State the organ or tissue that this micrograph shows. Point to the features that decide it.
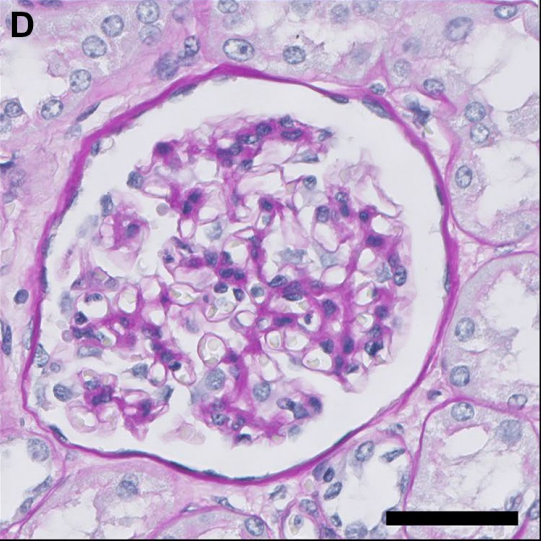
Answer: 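A round tuft of open capillary loops with magenta walls. A thick magenta capsule surrounds the tuft with a clear space. Tubules with pale cytoplasm lie around it. On this evidence: glomeruli.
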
